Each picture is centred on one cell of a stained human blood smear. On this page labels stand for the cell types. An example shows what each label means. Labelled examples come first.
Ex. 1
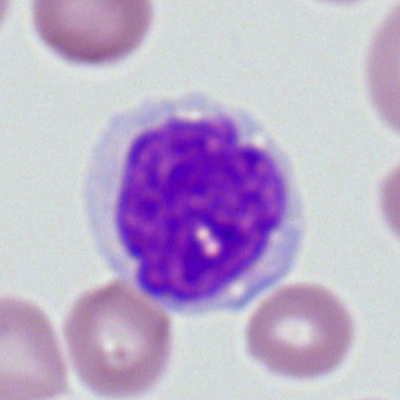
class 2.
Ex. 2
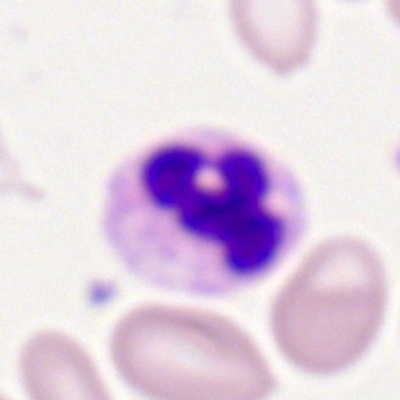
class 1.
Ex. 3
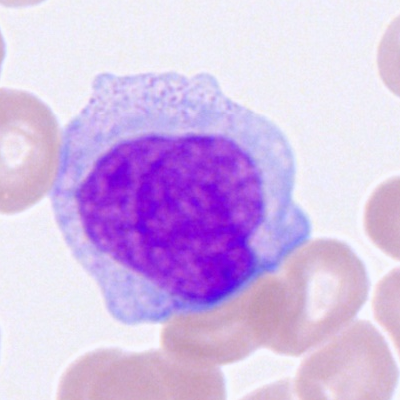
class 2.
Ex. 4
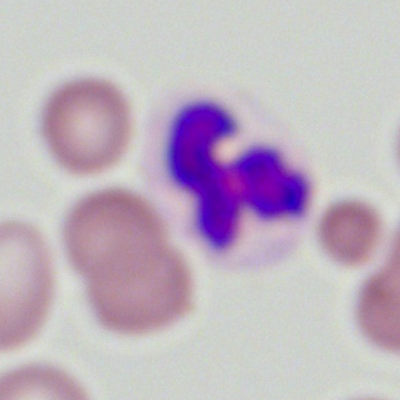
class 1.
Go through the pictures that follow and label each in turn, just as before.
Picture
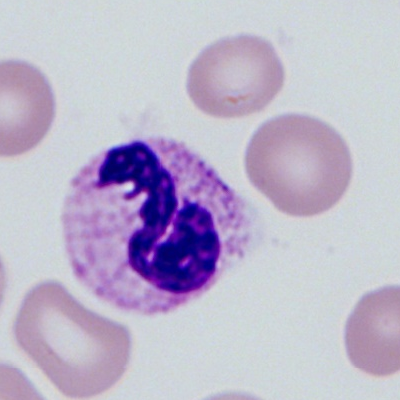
class 1.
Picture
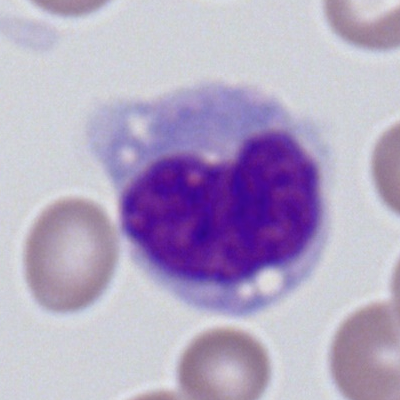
class 2.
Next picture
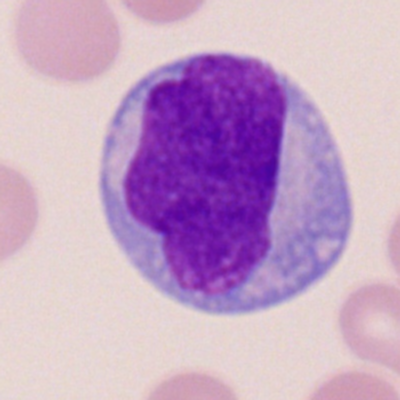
class 2.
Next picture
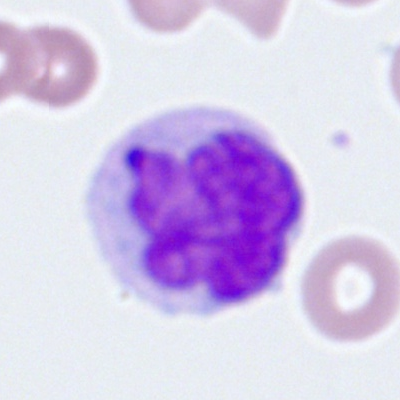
class 2.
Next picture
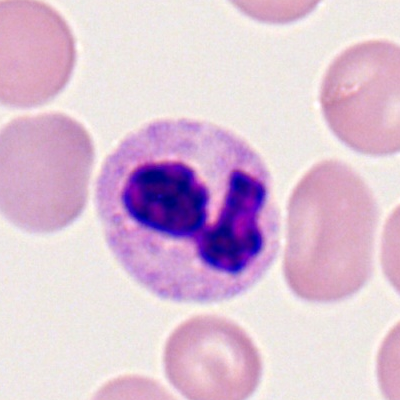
class 1.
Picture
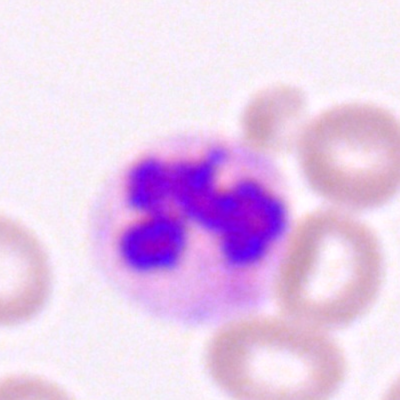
class 1.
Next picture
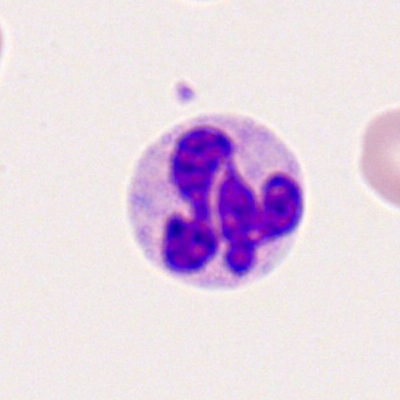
class 1.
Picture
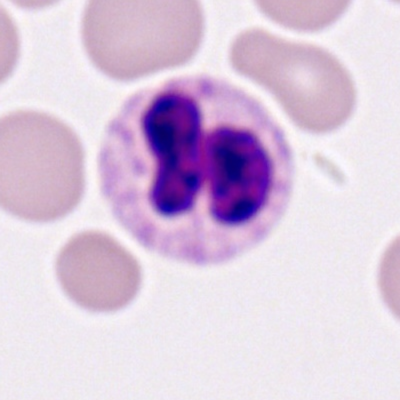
class 1.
